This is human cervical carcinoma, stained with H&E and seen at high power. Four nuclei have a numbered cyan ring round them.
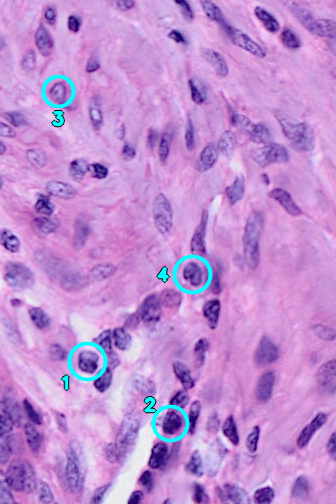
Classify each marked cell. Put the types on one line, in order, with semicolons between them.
lymphocyte; lymphocyte; smooth muscle cell; lymphocyte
